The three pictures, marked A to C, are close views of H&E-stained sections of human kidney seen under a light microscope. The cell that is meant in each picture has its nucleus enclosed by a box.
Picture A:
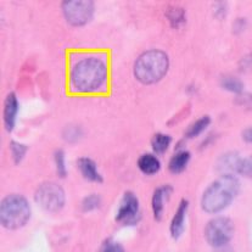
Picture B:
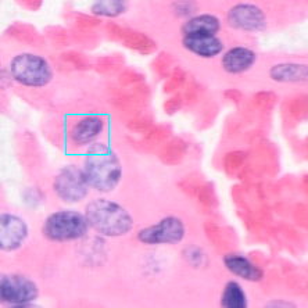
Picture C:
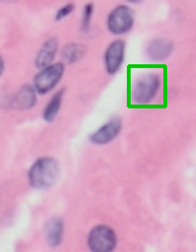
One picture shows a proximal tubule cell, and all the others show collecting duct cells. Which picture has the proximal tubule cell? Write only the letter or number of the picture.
A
